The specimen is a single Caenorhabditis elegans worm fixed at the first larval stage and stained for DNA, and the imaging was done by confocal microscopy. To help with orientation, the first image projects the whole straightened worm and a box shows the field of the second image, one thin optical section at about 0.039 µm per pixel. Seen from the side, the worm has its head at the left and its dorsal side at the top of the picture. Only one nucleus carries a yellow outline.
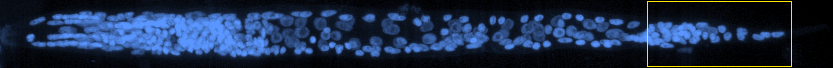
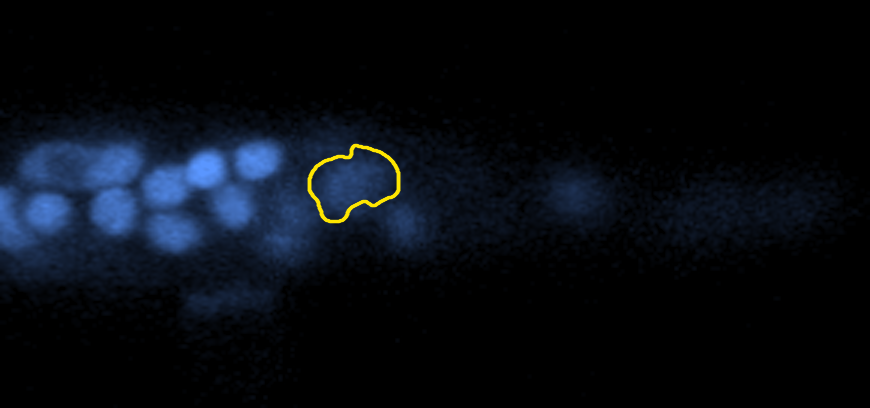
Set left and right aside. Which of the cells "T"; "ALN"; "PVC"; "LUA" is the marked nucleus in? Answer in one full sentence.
The marked cell is T, a seam cell.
